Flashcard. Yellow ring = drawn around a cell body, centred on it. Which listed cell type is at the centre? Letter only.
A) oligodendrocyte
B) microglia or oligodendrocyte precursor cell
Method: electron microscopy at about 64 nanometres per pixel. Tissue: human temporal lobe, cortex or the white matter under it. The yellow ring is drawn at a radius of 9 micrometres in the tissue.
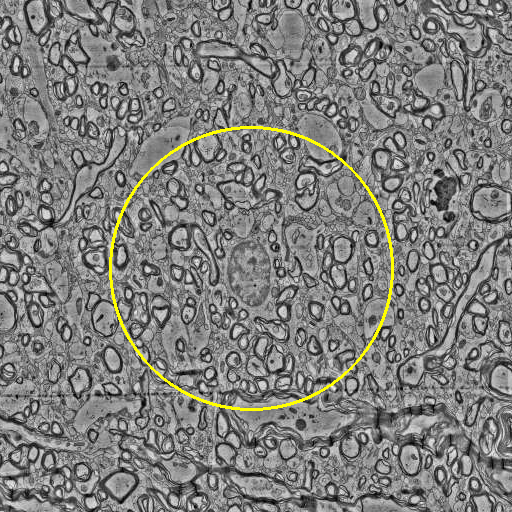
A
